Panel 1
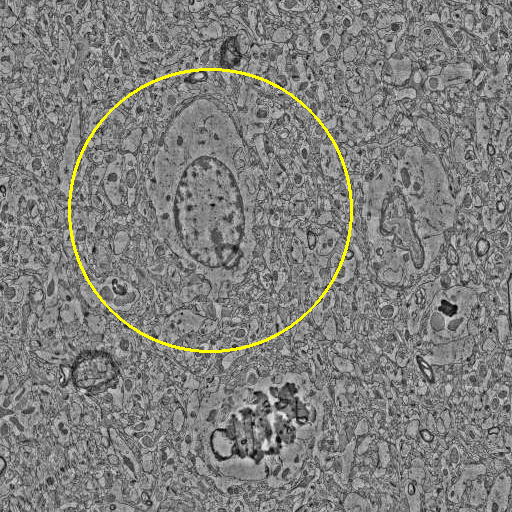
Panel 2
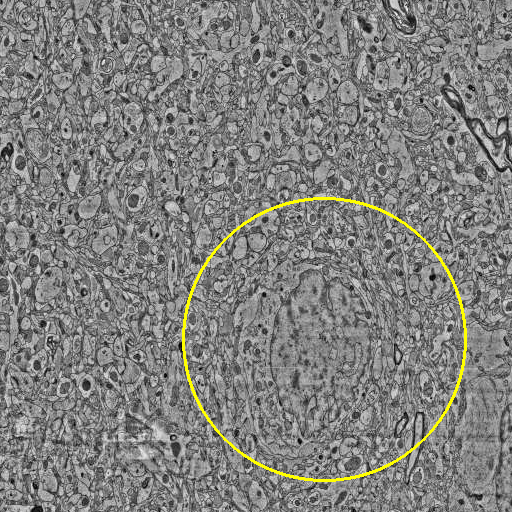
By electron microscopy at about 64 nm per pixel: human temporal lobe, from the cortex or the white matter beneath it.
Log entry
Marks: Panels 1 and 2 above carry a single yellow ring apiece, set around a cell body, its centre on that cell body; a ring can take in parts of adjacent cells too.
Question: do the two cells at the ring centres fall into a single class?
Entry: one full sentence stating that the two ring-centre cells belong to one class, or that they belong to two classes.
The two ring-centre cells in Panels 1 and 2 belong to two classes.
